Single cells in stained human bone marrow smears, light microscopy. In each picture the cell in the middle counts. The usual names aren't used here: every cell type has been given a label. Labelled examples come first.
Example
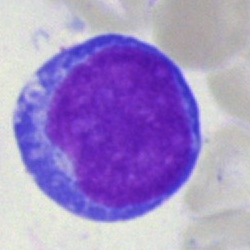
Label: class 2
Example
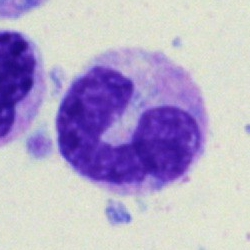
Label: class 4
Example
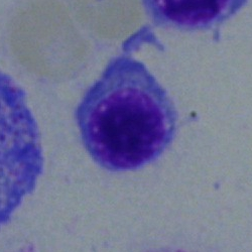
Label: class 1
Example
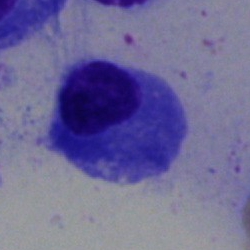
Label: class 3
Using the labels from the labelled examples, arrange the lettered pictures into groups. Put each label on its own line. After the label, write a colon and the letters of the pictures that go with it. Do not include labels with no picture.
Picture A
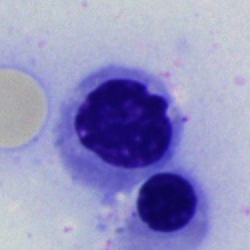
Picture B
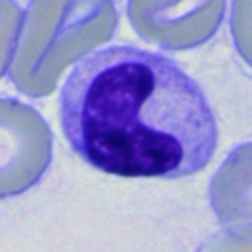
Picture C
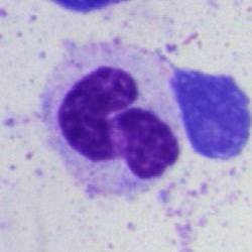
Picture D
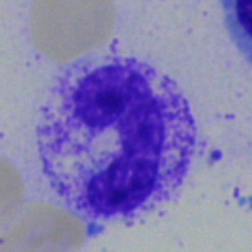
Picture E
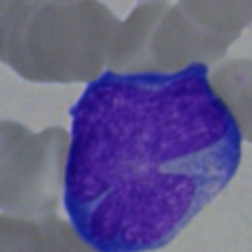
class 2: E
class 4: B, C, D
class 1: A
